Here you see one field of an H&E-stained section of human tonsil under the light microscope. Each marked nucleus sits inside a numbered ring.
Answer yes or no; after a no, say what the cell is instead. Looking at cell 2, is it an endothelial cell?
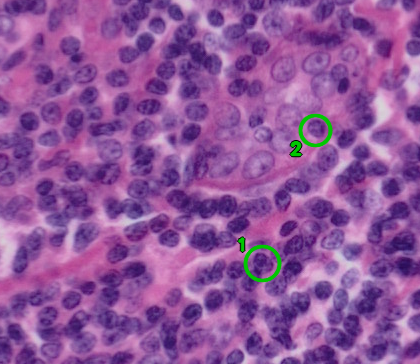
Yes.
